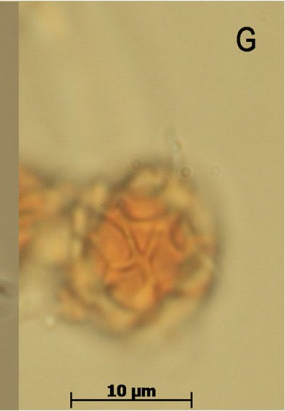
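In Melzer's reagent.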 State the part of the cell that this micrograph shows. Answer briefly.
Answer: Anastomosed ridges.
